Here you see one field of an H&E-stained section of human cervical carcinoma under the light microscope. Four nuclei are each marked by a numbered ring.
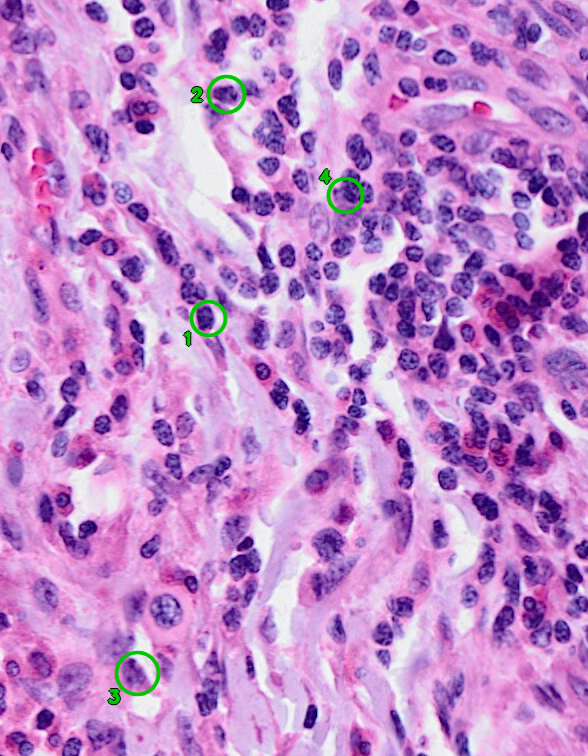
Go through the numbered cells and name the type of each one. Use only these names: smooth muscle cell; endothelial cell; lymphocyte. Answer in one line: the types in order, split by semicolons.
lymphocyte; lymphocyte; endothelial cell; lymphocyte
